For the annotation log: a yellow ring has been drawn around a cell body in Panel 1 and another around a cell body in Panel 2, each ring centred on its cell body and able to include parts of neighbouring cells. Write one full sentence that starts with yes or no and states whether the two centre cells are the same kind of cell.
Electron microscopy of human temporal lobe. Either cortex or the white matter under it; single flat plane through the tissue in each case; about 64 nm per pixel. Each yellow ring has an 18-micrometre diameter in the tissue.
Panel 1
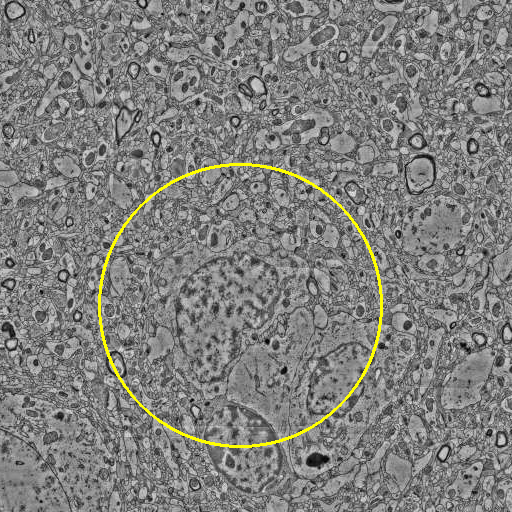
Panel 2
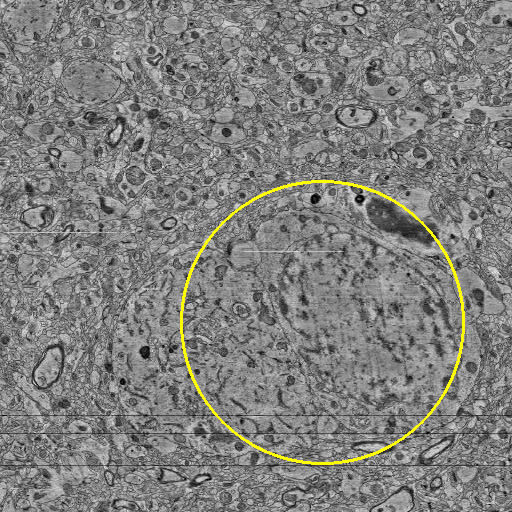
Yes, the two centre cells are the same kind of cell.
